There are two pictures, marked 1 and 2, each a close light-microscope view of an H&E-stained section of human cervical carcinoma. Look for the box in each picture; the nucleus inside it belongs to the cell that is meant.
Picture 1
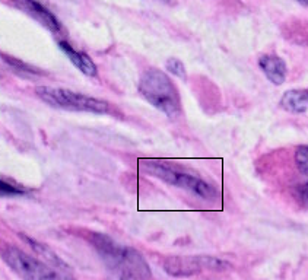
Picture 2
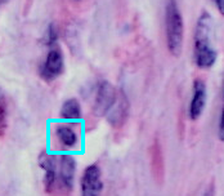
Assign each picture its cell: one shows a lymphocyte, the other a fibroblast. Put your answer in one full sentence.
Picture 1 shows a fibroblast and picture 2 shows a lymphocyte.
